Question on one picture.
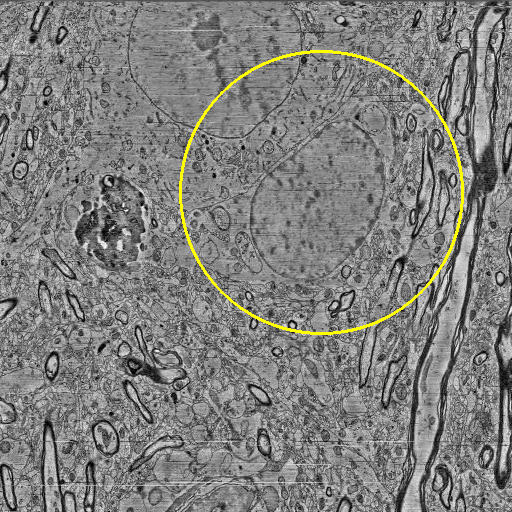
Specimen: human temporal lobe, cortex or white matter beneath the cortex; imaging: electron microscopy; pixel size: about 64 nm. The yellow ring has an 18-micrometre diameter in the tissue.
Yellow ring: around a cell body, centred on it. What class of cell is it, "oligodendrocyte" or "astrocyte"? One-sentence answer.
This is an astrocyte, the cell the ring is centred on.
